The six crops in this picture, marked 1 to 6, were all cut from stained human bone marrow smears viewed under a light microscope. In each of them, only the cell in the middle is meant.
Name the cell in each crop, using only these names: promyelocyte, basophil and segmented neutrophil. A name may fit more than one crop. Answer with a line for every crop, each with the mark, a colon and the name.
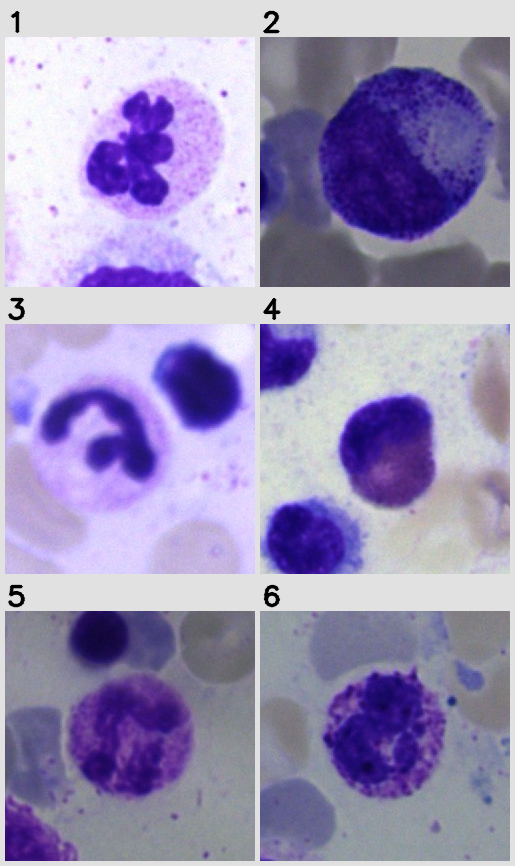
1: segmented neutrophil
2: promyelocyte
3: segmented neutrophil
4: basophil
5: segmented neutrophil
6: basophil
